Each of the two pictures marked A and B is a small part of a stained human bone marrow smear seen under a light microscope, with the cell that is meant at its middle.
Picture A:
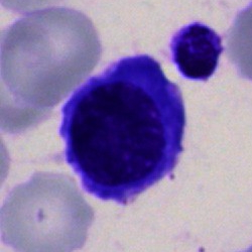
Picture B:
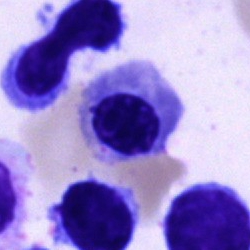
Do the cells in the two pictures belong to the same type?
yes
